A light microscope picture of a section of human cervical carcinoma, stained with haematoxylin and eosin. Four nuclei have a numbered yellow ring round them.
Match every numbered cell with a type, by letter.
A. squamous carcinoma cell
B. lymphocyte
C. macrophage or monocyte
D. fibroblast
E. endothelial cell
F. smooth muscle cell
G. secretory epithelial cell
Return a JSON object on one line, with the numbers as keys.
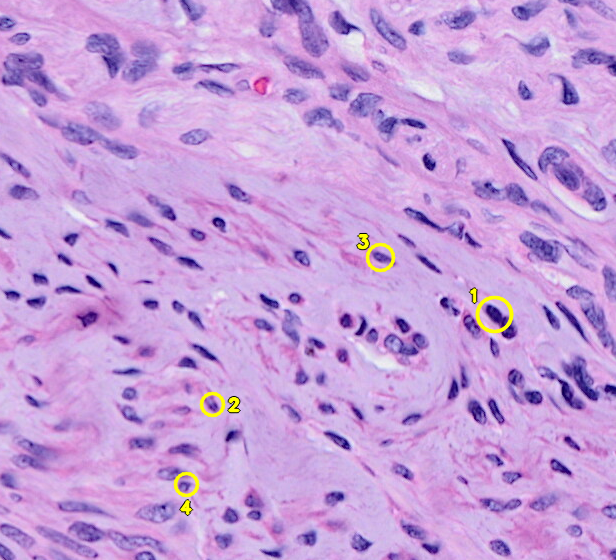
{"1": "B", "2": "F", "3": "F", "4": "F"}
